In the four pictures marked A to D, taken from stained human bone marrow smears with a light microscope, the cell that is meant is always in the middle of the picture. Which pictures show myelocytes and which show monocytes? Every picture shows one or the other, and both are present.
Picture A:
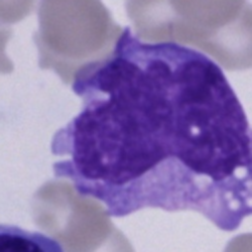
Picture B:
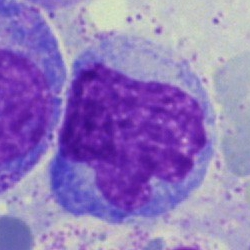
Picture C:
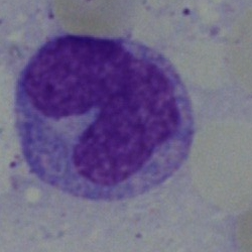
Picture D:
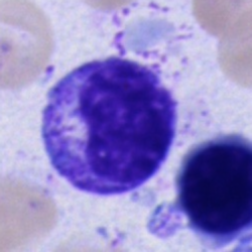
A: monocyte
B: monocyte
C: monocyte
D: myelocyte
